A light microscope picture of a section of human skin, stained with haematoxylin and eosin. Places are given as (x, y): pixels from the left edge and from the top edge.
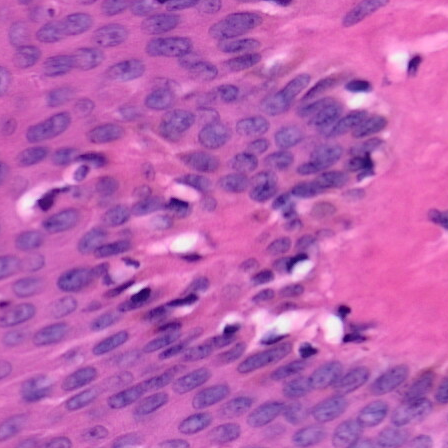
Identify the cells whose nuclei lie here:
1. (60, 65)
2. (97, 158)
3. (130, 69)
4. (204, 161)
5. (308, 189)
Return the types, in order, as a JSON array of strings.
["suprabasal keratinocyte", "basal keratinocyte", "suprabasal keratinocyte", "basal keratinocyte", "basal keratinocyte"]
